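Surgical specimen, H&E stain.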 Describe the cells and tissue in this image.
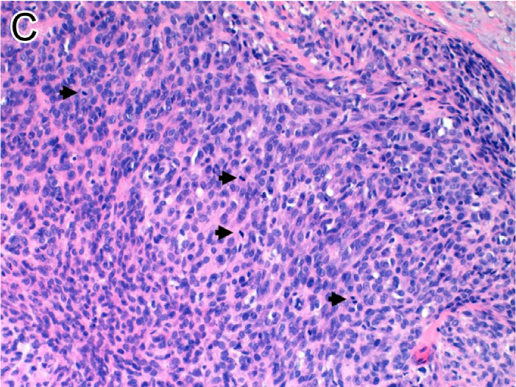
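A sheet of tumour cells from an undifferentiated neoplasm, crowded closely together with no glandular or follicular pattern. The nuclei are oval to spindle-shaped and dark blue. The cytoplasm is scant and pale pink, and the cell borders are indistinct. Scattered among them are several mitotic figures, seen as small, dense, dark clumps of condensed chromatin. A thin strip of pink collagen runs along the upper right edge. A few red blood cells lie at the lower right.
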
